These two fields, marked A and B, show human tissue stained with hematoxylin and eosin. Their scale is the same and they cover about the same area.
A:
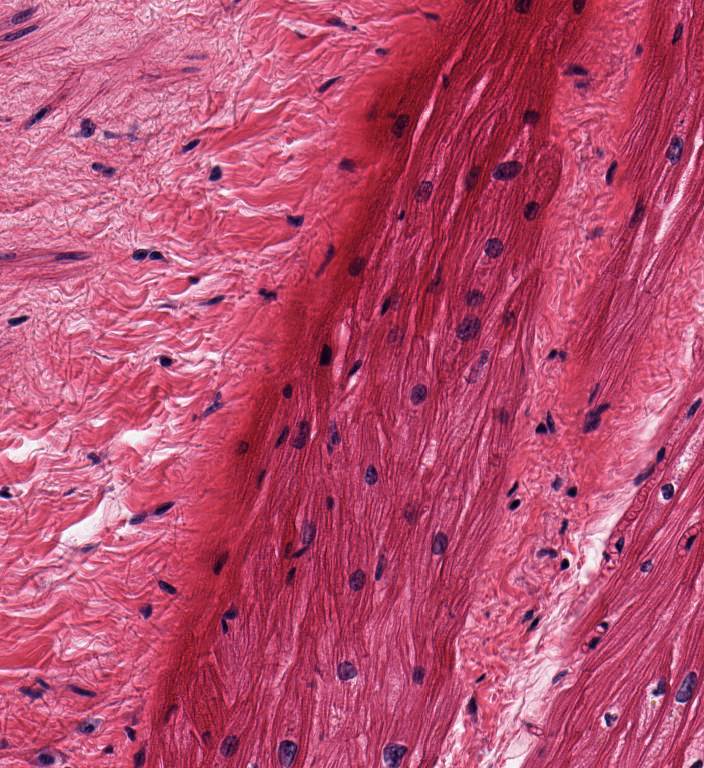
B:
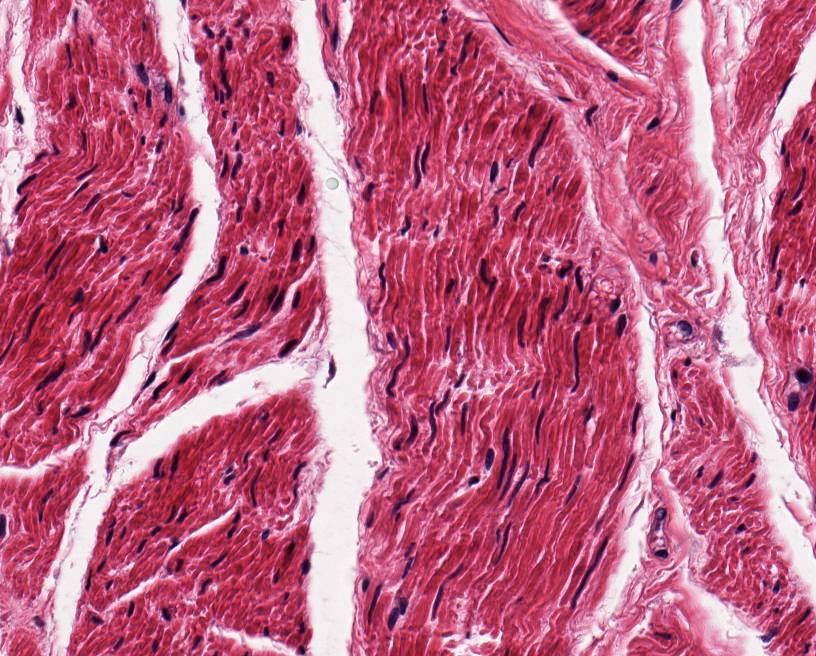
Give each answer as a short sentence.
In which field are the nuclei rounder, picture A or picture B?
The nuclei are rounder in picture A.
